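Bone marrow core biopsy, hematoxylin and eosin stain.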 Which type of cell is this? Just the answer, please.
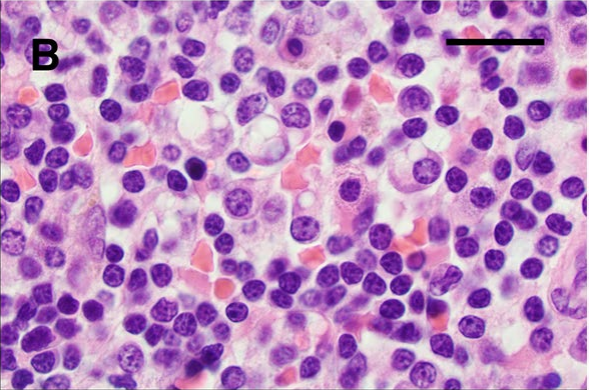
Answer: Small lymphocytes and plasma cells.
